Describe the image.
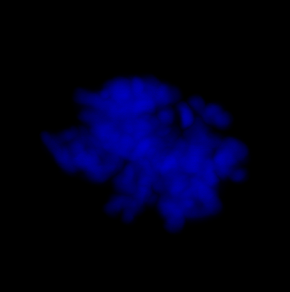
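The chromatin is not enclosed in a round nucleus. Instead, it forms one compact, irregular mass of condensed chromosomes near the centre of the field. Short rod-like chromosome arms project at the edges and give the mass a ragged, lobed outline. Brightness varies somewhat across the mass, but no nuclear envelope border or nucleoli can be made out. The surrounding cytoplasm is not stained and cannot be seen.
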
